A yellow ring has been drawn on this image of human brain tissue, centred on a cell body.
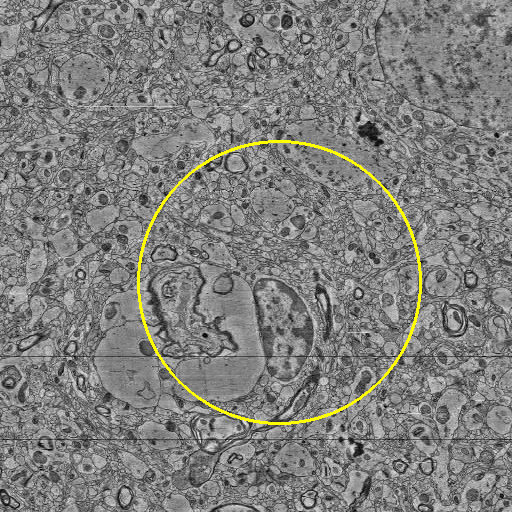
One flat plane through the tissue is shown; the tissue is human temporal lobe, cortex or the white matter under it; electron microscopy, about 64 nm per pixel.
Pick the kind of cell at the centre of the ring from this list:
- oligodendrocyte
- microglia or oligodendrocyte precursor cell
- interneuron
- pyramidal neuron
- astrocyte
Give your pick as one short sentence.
The centre of the ring holds a microglial cell or oligodendrocyte precursor cell.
